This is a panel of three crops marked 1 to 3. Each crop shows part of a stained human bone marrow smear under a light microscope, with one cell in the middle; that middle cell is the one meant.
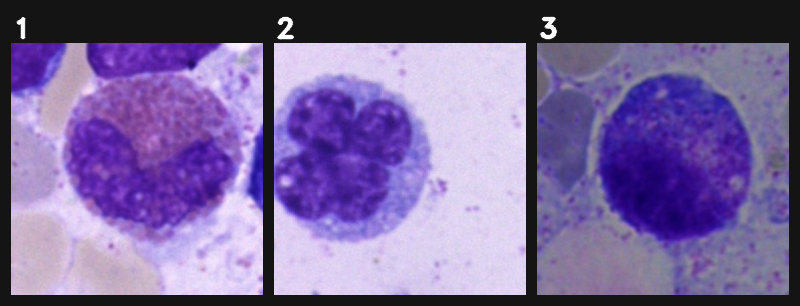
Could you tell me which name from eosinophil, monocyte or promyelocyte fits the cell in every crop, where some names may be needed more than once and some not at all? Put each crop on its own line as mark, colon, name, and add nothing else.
1: eosinophil
2: monocyte
3: promyelocyte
